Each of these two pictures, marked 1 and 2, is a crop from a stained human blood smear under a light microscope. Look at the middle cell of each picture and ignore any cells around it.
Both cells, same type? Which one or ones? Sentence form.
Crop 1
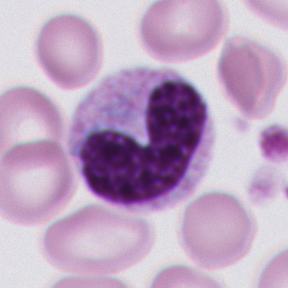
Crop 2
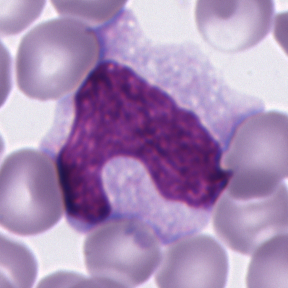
No, crop 1 gives us a band neutrophil and crop 2 gives us a monocyte.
